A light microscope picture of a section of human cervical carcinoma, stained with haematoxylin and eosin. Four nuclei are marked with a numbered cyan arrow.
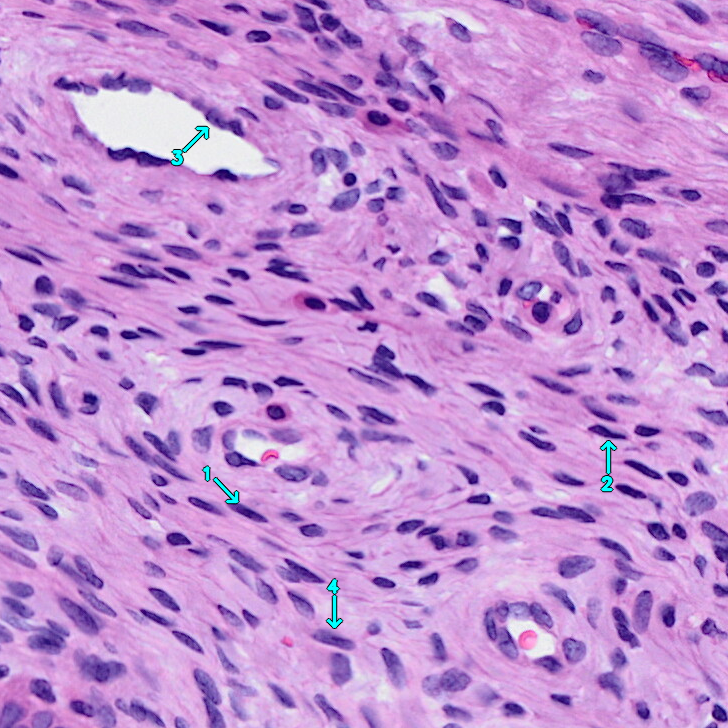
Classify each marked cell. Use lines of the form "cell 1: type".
cell 1: fibroblast
cell 2: fibroblast
cell 3: endothelial cell
cell 4: fibroblast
